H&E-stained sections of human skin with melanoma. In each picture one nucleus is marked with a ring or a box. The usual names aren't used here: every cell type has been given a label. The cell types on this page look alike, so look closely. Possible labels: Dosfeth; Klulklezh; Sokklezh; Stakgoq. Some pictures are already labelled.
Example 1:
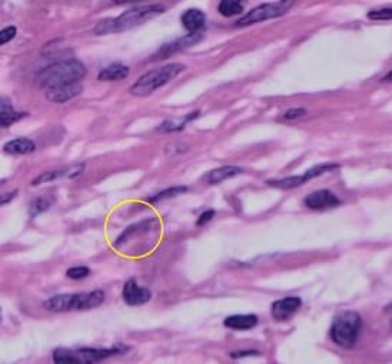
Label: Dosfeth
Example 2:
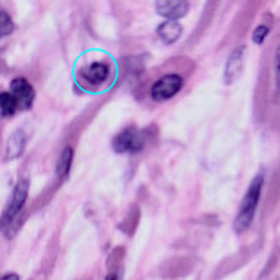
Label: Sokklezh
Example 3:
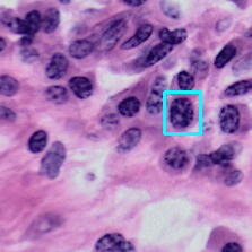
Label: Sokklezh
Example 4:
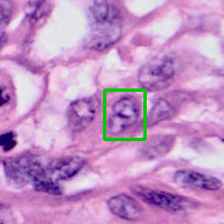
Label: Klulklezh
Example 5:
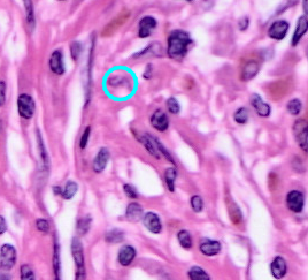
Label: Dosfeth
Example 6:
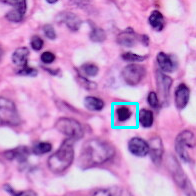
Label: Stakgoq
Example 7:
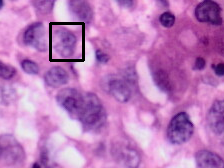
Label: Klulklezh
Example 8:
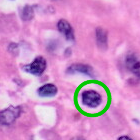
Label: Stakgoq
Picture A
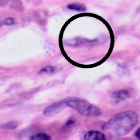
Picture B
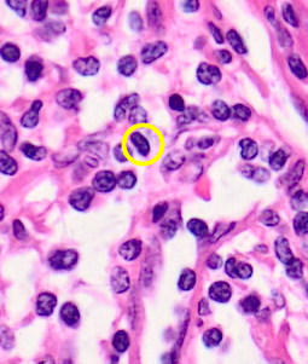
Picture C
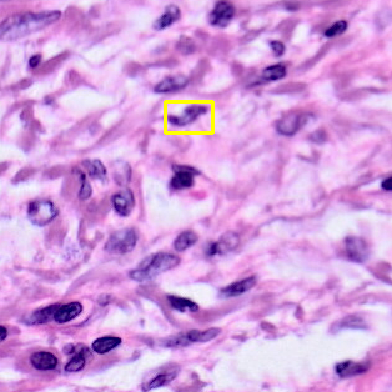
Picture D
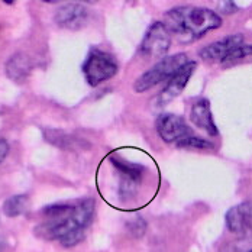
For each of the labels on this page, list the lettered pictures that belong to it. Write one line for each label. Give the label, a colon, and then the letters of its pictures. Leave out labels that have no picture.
Dosfeth: A, C
Klulklezh: D
Stakgoq: B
